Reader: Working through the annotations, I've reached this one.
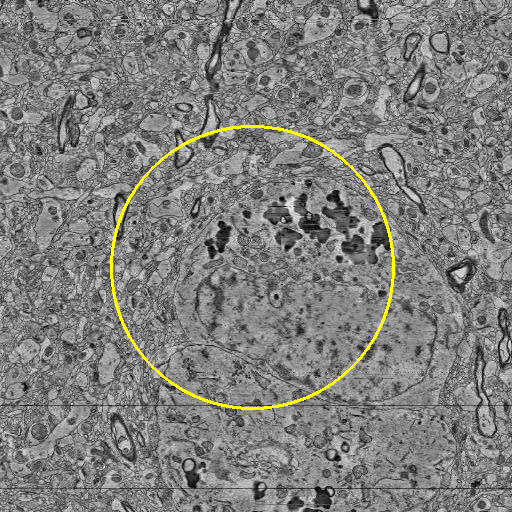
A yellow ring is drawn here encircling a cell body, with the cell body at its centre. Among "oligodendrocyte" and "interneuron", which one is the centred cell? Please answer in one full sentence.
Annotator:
The cell body at the centre of the yellow ring in this image belongs to an interneuron.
